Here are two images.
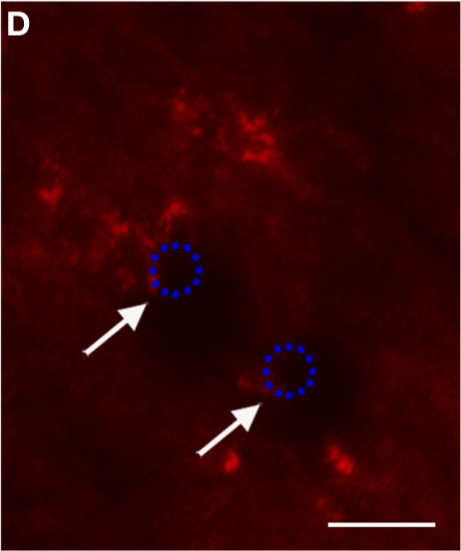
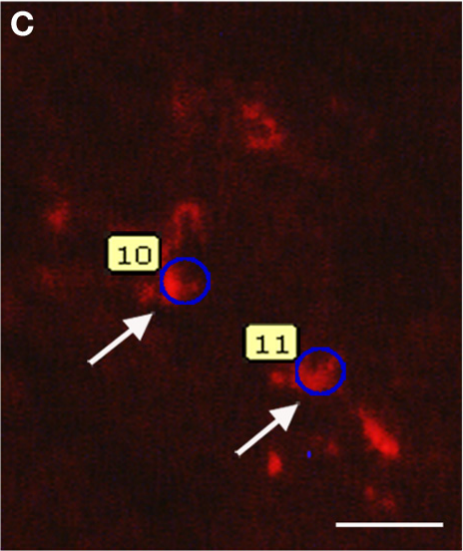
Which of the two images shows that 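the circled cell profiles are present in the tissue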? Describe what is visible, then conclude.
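The second image. First image: the dotted blue circles enclose dark, empty areas with no bright profile. Second image: the solid blue circles each enclose a bright red rounded profile.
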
